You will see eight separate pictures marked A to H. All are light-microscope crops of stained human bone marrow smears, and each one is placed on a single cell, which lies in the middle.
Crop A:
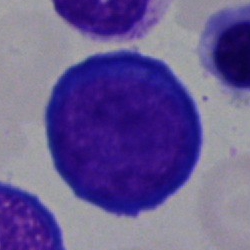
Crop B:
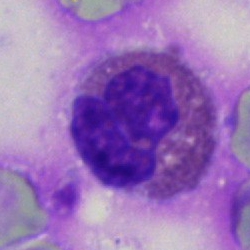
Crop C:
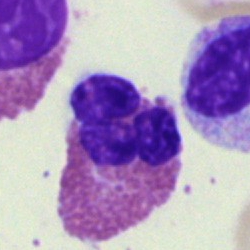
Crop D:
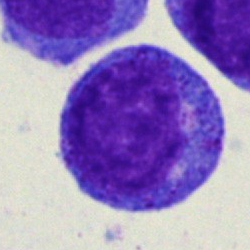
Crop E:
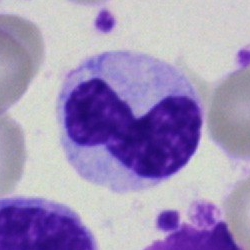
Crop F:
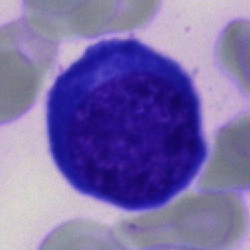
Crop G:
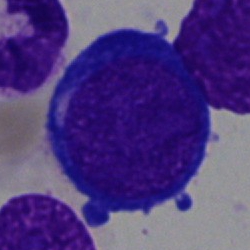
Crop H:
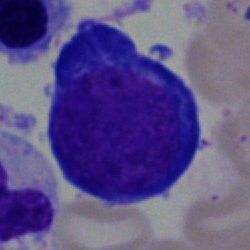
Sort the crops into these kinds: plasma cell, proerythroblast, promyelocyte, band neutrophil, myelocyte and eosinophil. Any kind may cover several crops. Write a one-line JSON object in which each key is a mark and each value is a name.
{"A": "proerythroblast", "B": "eosinophil", "C": "eosinophil", "D": "promyelocyte", "E": "band neutrophil", "F": "proerythroblast", "G": "proerythroblast", "H": "proerythroblast"}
